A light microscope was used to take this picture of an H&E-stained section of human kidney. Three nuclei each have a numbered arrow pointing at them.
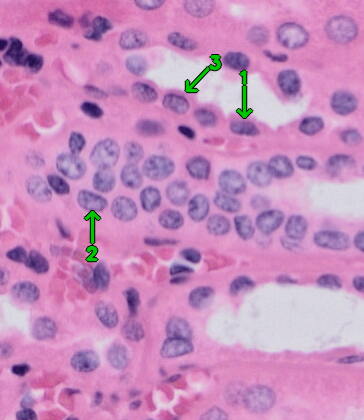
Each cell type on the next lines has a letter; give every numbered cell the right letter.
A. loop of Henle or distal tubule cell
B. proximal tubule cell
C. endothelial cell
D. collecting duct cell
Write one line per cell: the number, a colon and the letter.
1: A
2: D
3: A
